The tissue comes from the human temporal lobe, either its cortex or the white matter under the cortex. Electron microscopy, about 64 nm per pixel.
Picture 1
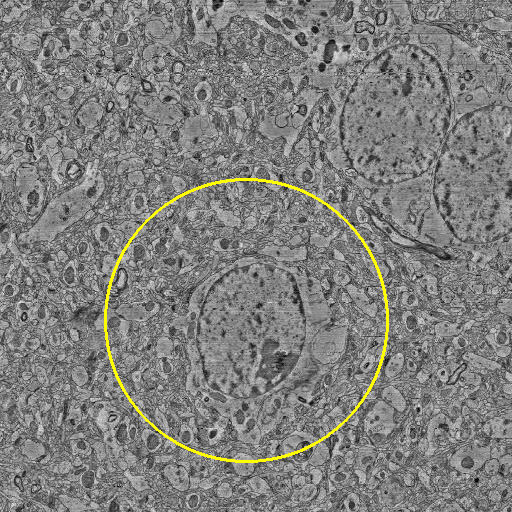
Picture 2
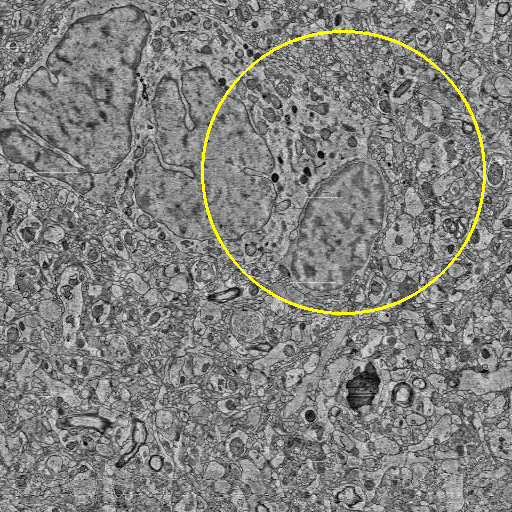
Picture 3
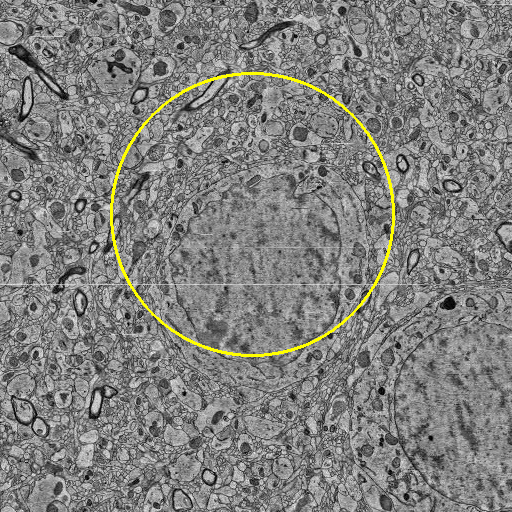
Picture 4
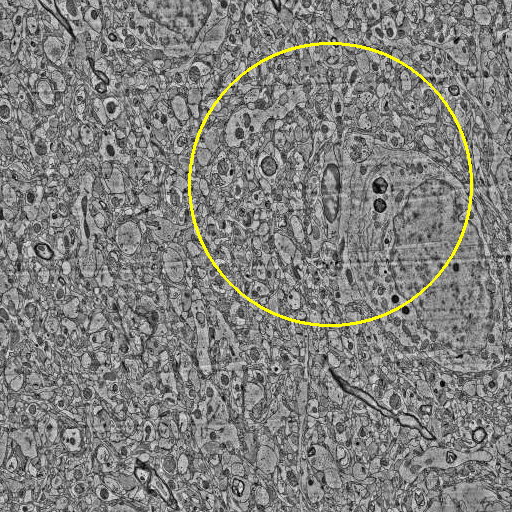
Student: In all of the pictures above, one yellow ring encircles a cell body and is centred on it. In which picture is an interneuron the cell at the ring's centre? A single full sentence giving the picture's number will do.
Picture number 3 has the wanted cell right at the centre of its ring.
